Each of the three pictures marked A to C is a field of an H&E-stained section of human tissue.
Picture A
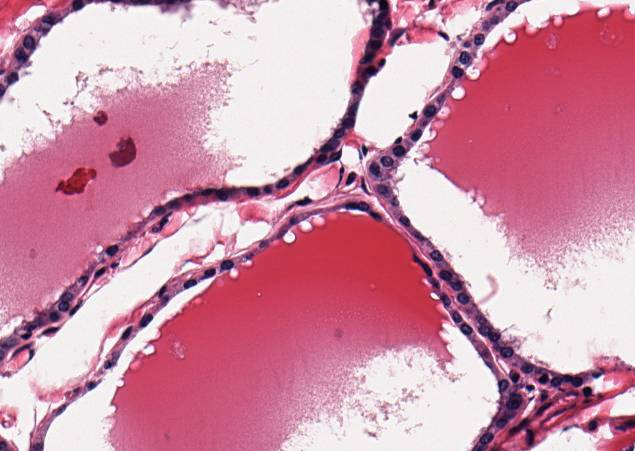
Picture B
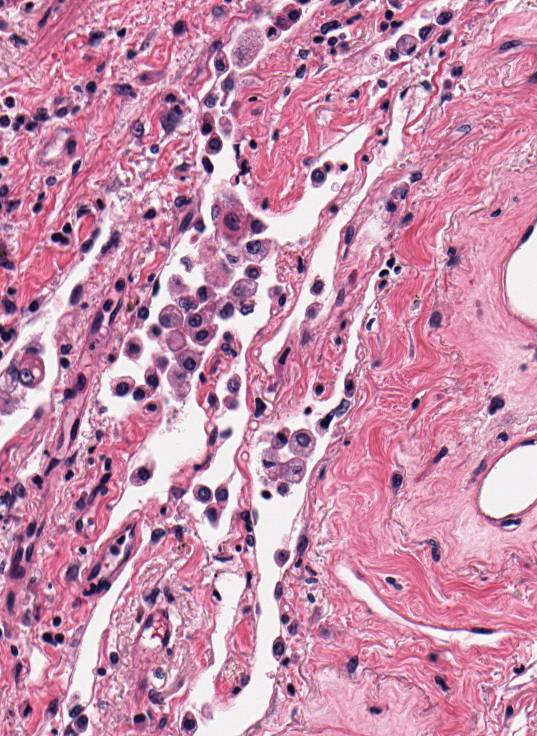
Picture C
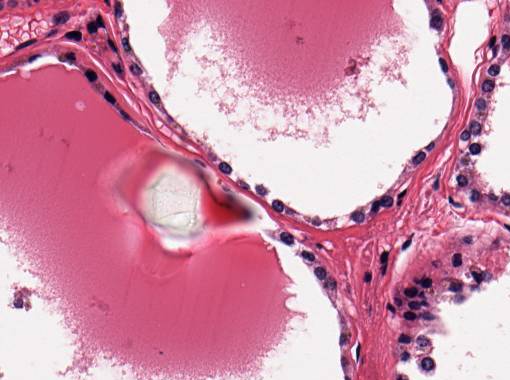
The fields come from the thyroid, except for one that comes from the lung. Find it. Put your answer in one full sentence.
Picture B comes from the lung.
